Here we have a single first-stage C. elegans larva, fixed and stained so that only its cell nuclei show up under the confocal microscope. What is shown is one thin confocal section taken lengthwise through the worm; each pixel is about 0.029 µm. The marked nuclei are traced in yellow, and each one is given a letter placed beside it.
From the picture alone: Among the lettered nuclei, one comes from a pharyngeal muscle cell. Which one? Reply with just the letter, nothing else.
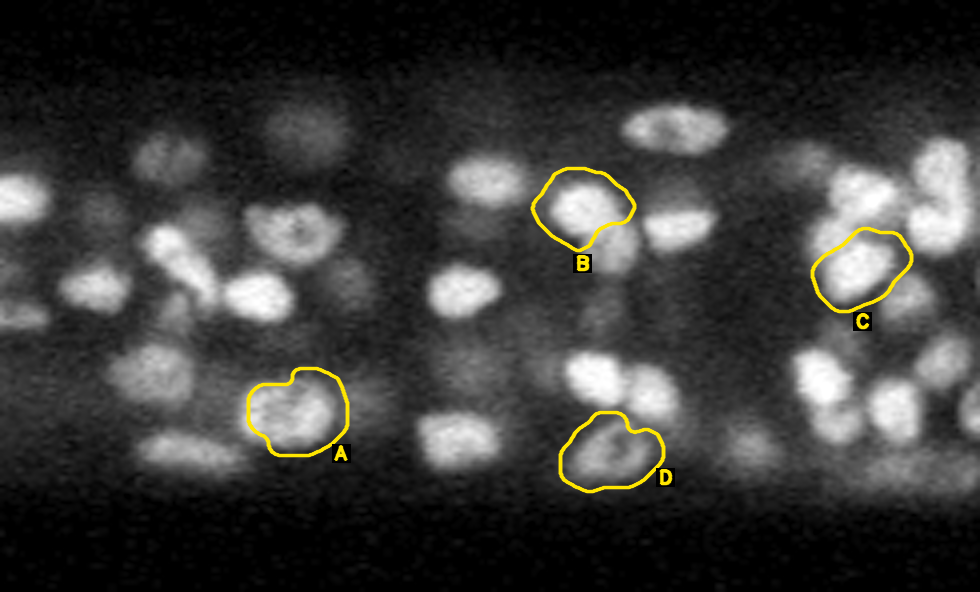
A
